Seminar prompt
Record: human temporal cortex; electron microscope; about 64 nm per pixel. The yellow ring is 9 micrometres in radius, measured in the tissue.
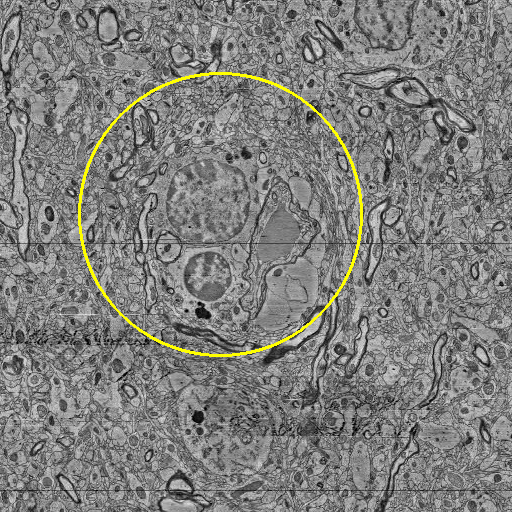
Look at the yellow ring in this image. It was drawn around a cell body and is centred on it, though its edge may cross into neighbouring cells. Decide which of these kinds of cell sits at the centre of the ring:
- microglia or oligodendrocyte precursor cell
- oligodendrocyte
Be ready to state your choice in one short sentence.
The kind of cell at the ring's centre is an oligodendrocyte.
